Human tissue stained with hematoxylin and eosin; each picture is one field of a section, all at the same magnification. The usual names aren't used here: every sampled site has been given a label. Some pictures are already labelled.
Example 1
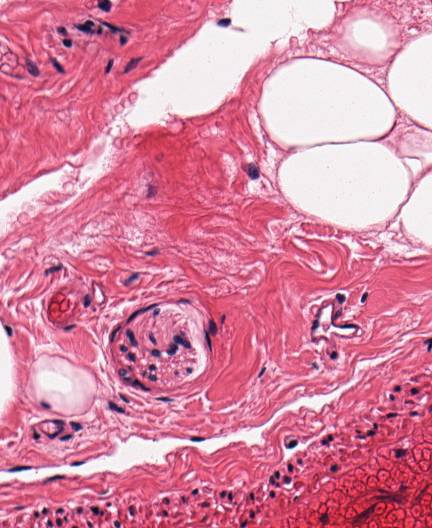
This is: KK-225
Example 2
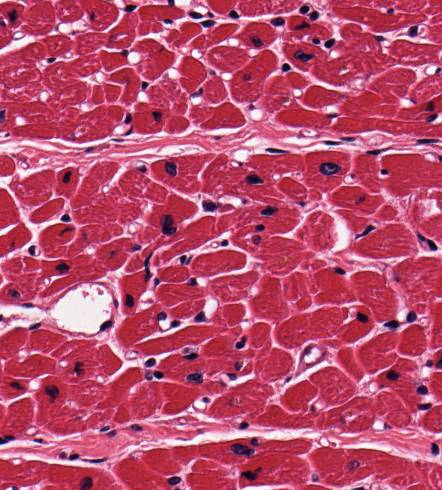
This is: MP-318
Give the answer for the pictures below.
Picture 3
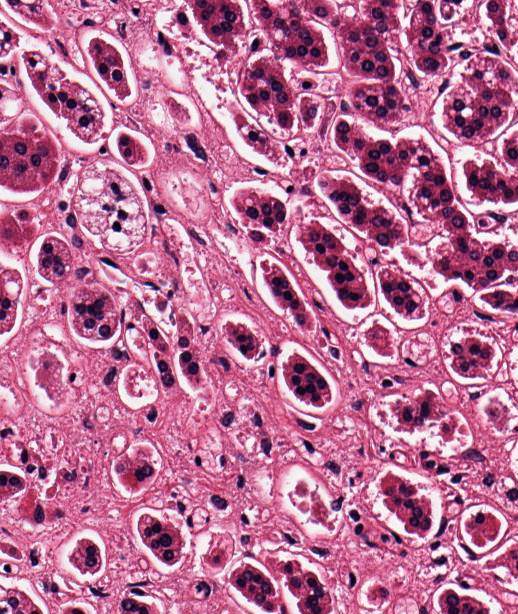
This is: KK-225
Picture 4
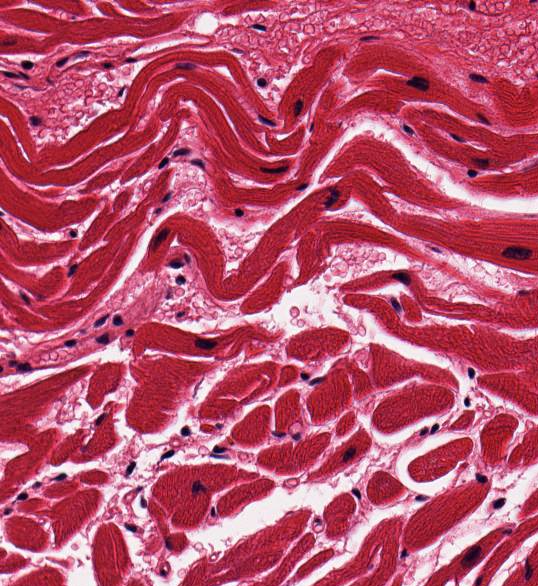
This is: MP-318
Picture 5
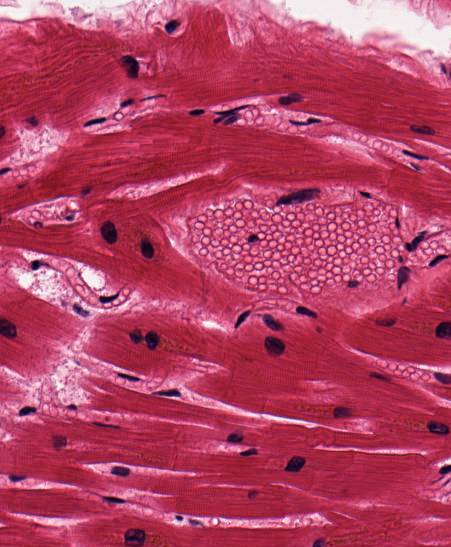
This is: MP-318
